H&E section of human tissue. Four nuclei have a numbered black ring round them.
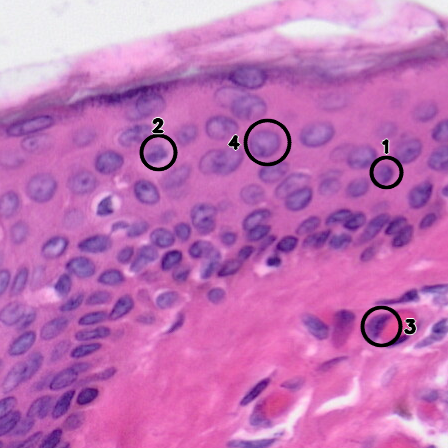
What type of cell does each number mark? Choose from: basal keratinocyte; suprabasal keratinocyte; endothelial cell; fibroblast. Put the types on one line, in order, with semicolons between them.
suprabasal keratinocyte; suprabasal keratinocyte; endothelial cell; suprabasal keratinocyte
